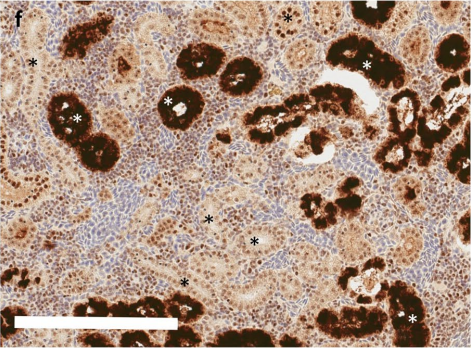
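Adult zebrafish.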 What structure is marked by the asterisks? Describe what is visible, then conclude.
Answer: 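Round epithelial profiles with central lumens are scattered among small interstitial cells. Some of these profiles are stained intensely dark brown, others only pale tan. On this evidence: renal tubules or collecting ducts.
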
